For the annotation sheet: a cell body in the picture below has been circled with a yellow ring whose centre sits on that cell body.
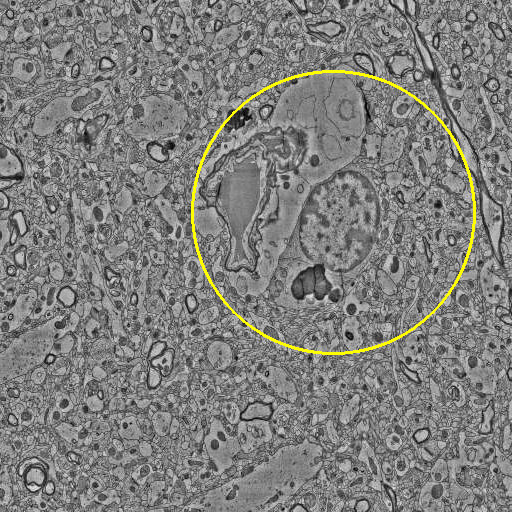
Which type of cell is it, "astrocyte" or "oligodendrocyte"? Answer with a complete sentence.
The circled cell is an oligodendrocyte.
